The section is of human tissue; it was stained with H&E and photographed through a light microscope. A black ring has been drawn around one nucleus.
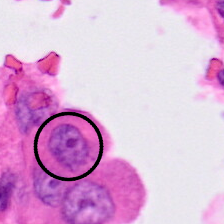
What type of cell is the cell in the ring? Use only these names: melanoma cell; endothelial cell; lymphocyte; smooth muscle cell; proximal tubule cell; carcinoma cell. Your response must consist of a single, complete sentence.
To be brief about it, the cell in the ring is a carcinoma cell.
